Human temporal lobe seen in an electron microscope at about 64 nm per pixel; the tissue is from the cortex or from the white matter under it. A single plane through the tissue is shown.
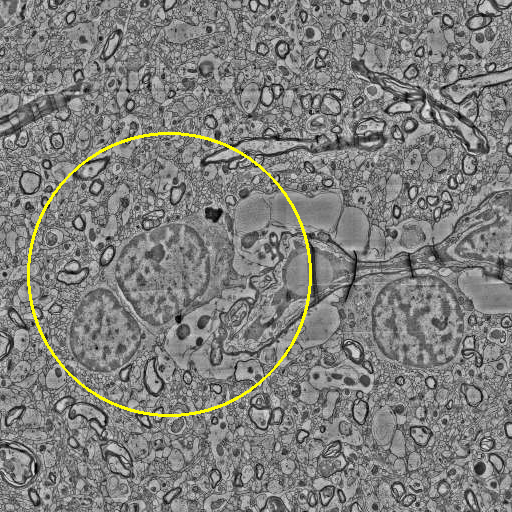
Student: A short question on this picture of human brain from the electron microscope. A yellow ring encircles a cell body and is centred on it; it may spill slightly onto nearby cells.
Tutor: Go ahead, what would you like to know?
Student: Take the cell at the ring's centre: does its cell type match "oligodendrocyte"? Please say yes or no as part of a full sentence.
Yes, in the picture, the cell at the ring's centre has that cell type.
